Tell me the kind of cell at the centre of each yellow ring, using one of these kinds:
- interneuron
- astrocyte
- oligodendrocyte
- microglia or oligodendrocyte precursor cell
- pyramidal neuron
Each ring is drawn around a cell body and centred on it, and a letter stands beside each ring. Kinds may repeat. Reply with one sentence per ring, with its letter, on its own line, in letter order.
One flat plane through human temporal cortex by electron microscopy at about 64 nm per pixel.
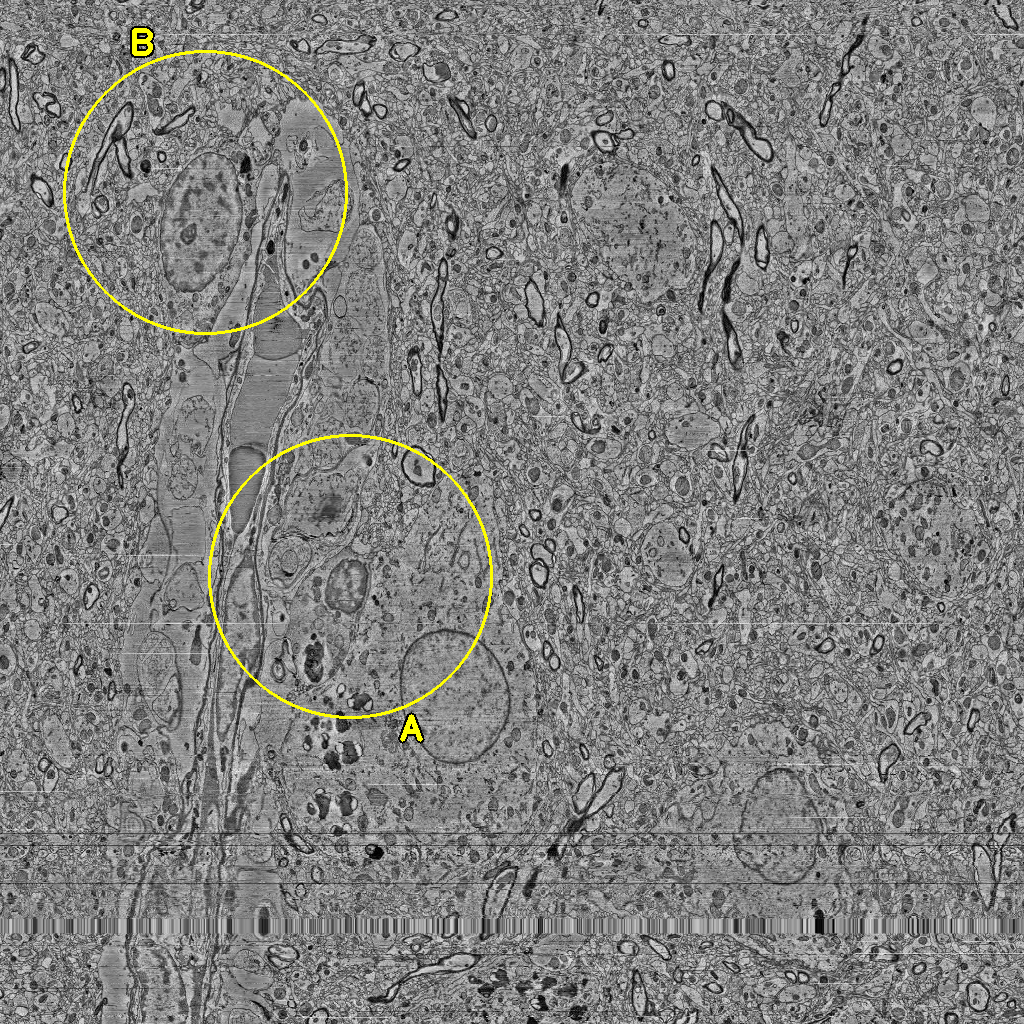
The ring labelled A is centred on an oligodendrocyte.
The ring labelled B is centred on an oligodendrocyte.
